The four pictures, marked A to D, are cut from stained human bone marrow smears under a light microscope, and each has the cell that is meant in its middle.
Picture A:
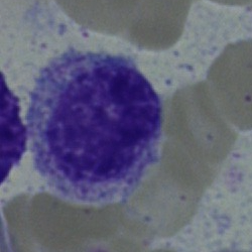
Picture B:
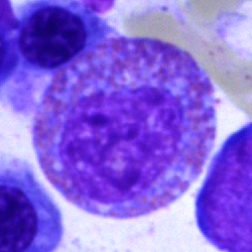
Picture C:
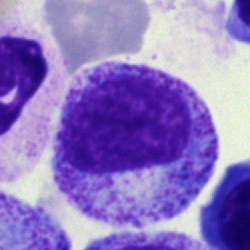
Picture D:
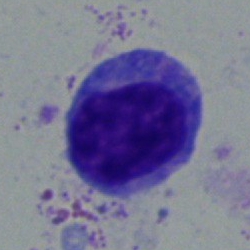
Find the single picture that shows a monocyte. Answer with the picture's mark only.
D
